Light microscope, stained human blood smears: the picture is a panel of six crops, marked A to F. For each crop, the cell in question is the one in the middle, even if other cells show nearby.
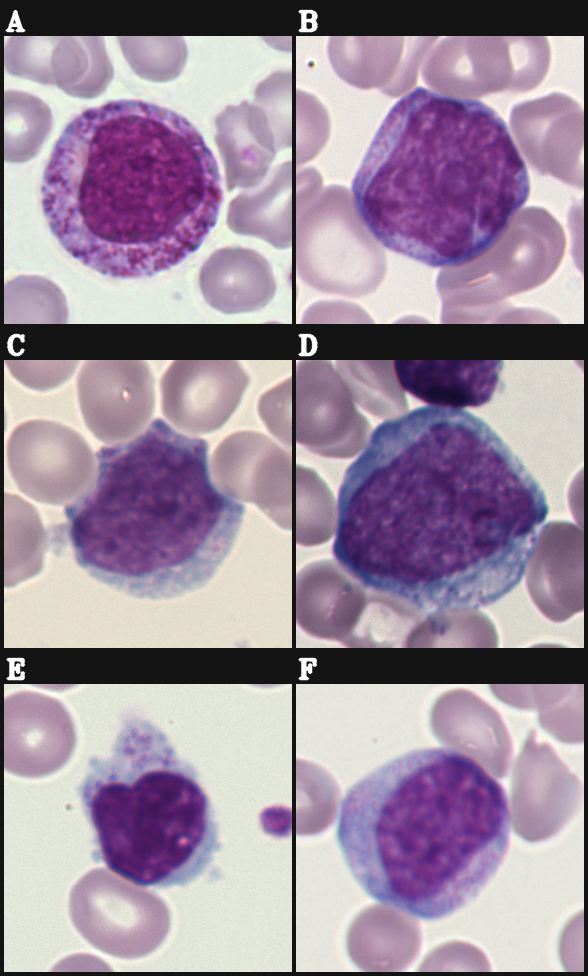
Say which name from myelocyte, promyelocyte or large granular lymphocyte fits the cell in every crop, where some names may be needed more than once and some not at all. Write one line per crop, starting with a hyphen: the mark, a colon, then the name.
- A: myelocyte
- B: promyelocyte
- C: promyelocyte
- D: promyelocyte
- E: large granular lymphocyte
- F: promyelocyte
